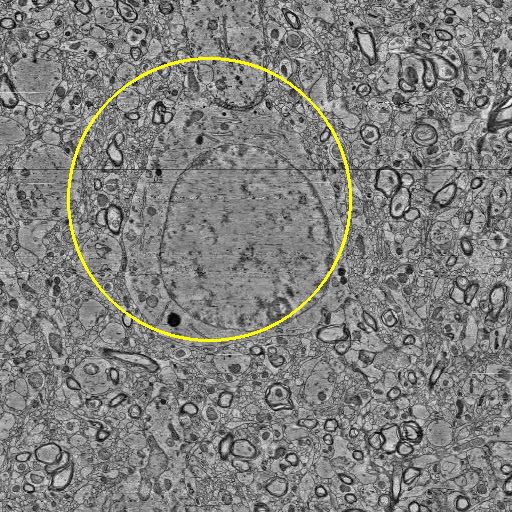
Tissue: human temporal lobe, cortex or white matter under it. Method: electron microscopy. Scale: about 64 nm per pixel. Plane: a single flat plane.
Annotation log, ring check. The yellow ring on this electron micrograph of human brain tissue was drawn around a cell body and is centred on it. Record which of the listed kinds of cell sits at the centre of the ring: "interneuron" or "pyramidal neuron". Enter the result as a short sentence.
The cell at the centre of the ring is an interneuron.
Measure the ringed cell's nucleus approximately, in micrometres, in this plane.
The nucleus appears about 12 micrometres across in this plane.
